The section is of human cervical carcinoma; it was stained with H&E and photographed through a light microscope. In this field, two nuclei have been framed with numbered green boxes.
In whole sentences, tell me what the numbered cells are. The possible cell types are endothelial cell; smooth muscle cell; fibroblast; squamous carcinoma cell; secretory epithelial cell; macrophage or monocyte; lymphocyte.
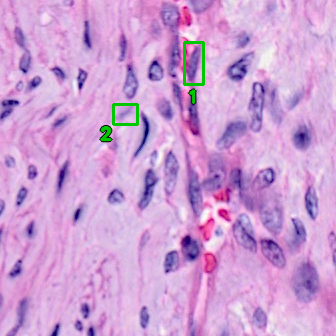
Cell 1 is an endothelial cell and cell 2 is a fibroblast.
